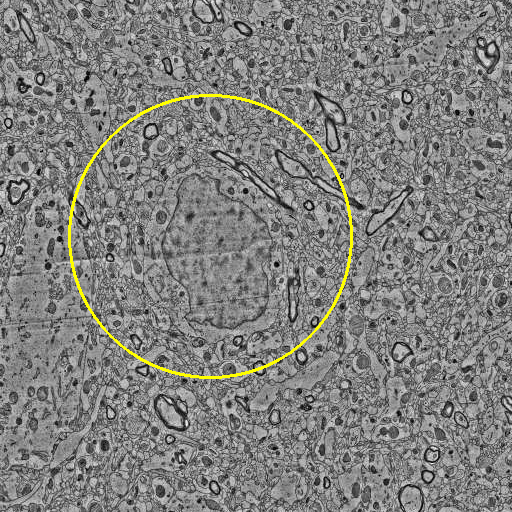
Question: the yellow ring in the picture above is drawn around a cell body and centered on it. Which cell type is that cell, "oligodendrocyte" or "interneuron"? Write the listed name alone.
interneuron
